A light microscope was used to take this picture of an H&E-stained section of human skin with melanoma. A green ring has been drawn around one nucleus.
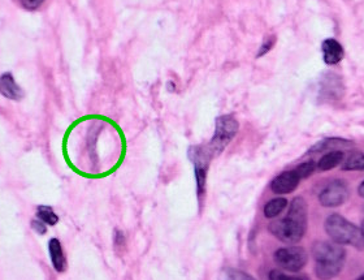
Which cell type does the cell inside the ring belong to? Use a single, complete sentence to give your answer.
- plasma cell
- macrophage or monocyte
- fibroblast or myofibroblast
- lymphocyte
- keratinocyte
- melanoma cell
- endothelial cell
In the tissue at hand, the cell inside the ring is a fibroblast or myofibroblast.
